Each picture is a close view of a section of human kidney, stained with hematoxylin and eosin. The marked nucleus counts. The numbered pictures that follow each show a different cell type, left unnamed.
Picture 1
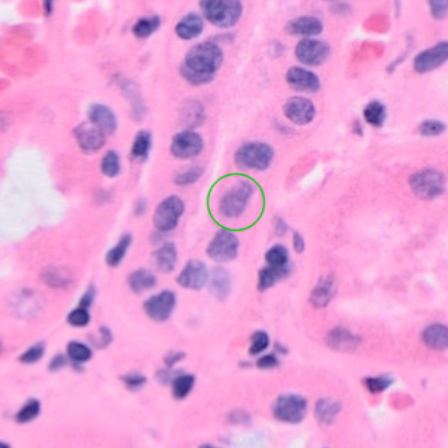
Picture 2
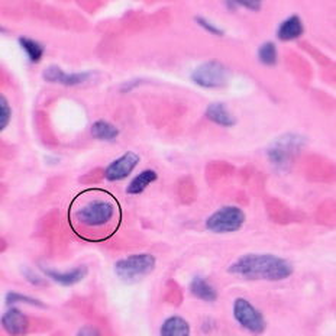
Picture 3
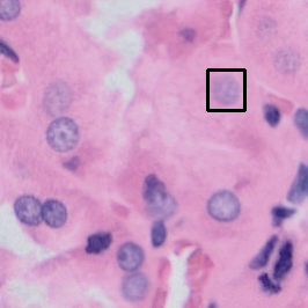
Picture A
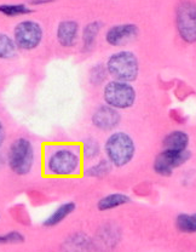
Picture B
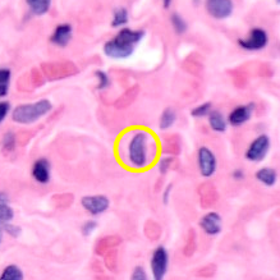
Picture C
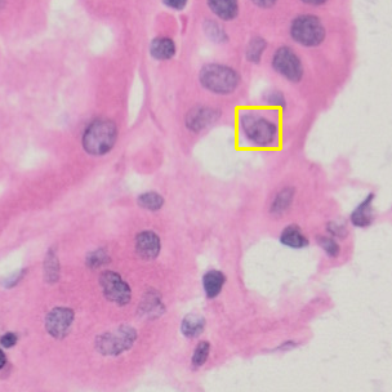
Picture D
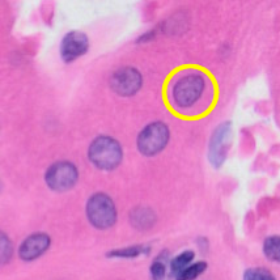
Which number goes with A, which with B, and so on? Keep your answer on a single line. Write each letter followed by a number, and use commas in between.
A 1, B 2, C 1, D 3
